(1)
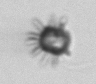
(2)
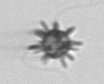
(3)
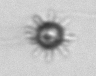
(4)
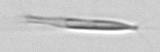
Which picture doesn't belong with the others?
Picture 4.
